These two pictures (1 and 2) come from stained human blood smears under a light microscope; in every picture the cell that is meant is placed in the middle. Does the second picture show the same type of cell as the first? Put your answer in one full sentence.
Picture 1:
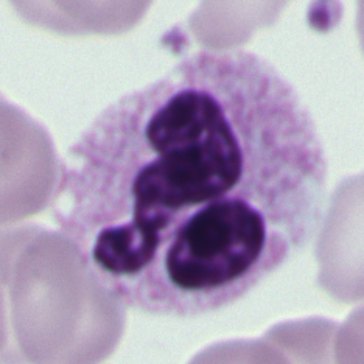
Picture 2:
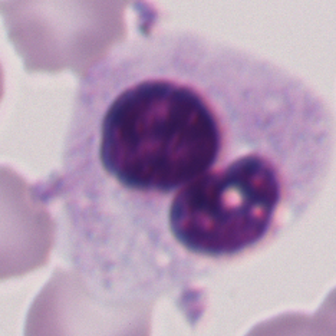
Yes, the two pictures both show segmented neutrophils.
